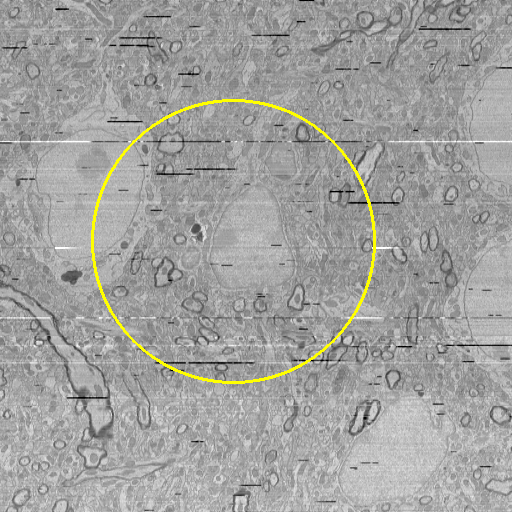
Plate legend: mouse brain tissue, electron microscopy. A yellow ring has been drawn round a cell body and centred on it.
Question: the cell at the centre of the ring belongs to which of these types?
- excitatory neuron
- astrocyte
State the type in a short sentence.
The cell in the middle of the ring is an astrocyte.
